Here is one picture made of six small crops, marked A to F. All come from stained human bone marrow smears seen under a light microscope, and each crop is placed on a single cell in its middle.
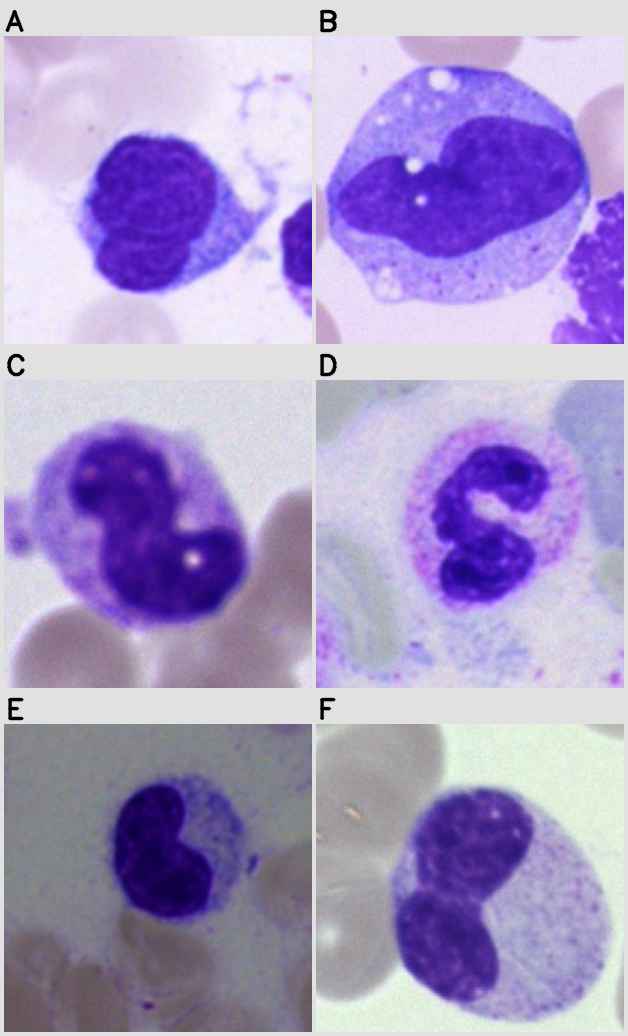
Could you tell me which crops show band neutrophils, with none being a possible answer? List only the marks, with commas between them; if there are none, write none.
C, E, F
